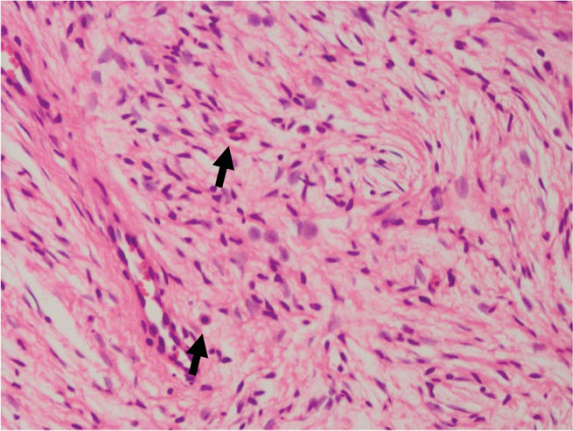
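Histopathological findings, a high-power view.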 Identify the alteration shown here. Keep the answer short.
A: Spindle- or comma-shaped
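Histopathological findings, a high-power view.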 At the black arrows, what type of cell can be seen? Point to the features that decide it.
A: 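The arrows point at small round cells rather than spindle cells. The upper marked cell has dense, darker cytoplasm than its neighbours.
Mast cells.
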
